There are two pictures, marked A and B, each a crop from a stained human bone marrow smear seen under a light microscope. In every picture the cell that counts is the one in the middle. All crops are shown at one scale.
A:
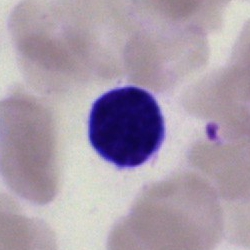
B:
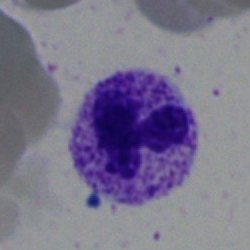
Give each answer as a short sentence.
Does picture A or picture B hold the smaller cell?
Picture A holds the smaller cell, since the cell in picture B covers about 2.5 times as much area.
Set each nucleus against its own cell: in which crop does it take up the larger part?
Of the two, the nucleus in picture A makes up the greater part of its cell.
